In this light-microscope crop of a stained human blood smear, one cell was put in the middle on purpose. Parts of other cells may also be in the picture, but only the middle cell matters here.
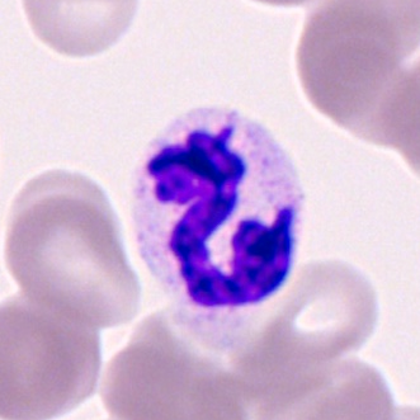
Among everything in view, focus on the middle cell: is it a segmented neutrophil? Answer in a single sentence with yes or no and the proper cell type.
Yes, the cell in the middle is recognised as a segmented neutrophil.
